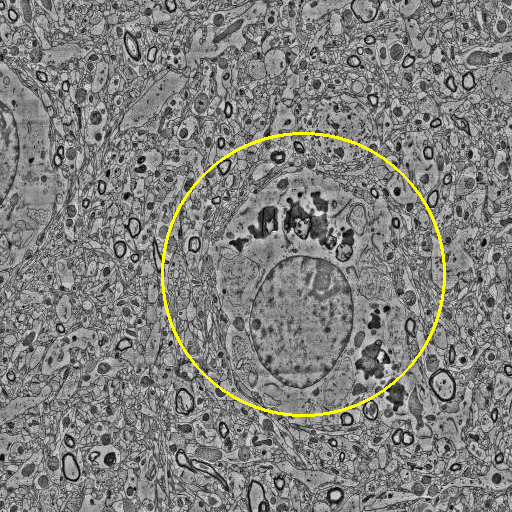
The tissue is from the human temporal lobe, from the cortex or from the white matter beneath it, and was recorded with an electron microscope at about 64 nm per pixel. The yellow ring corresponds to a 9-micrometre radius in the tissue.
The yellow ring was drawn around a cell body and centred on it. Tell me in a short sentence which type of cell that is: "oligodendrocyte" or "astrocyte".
The cell at the ring's centre is an astrocyte.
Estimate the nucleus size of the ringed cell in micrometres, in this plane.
About 8 by 6 micrometers, in this plane.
